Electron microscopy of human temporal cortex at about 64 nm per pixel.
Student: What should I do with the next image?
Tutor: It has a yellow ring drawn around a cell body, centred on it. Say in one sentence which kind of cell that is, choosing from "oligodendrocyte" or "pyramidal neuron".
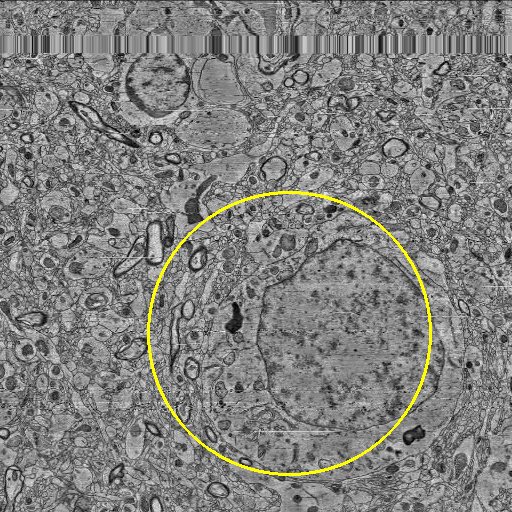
The ring's centre is occupied by a pyramidal neuron.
